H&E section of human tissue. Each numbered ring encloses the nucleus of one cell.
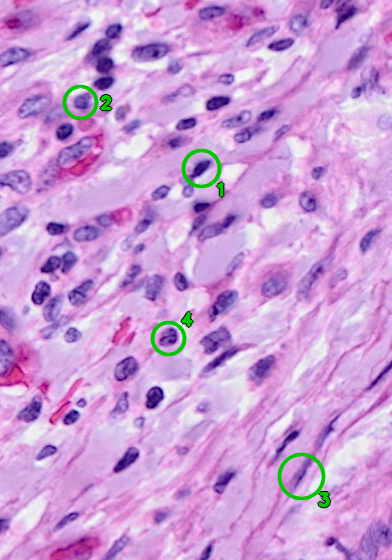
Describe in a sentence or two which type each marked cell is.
Cell 1 is a lymphocyte, cell 2 is a lymphocyte, cell 3 is a fibroblast and cell 4 is a lymphocyte.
